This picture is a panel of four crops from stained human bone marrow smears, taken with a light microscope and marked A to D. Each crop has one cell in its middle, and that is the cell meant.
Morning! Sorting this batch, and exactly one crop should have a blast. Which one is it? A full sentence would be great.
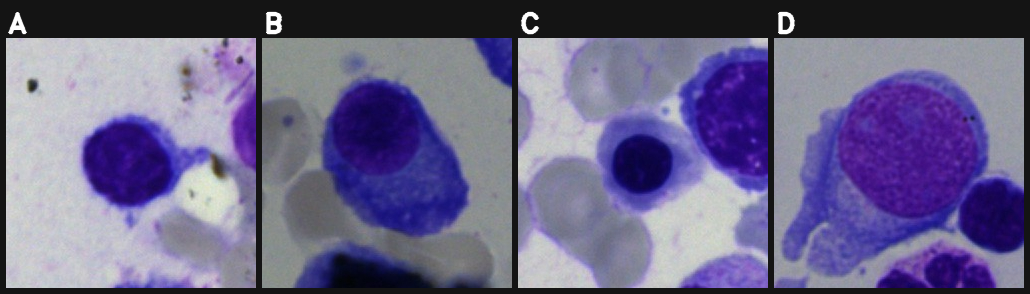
The one showing a blast is the crop labelled D.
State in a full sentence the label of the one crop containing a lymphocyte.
Crop A is the right one; it is the crop showing a lymphocyte.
